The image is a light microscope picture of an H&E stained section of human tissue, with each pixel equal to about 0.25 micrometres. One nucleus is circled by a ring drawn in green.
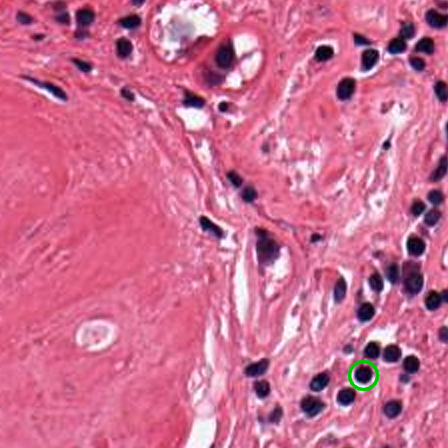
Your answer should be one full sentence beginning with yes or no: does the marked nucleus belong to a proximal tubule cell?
No, the marked nucleus is that of a supporting cell instead of a proximal tubule cell.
